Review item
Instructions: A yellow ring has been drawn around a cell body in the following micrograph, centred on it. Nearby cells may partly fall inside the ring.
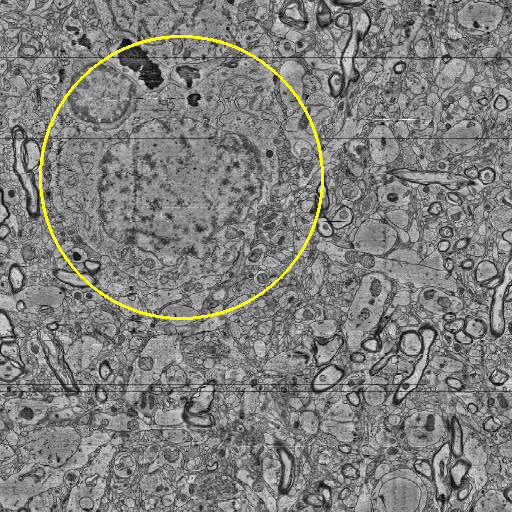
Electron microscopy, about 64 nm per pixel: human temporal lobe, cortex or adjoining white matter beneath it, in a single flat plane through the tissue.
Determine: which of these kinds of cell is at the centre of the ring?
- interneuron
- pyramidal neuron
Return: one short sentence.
The cell body in the middle of the ring is that of an interneuron.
